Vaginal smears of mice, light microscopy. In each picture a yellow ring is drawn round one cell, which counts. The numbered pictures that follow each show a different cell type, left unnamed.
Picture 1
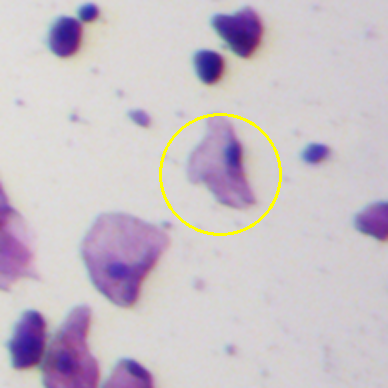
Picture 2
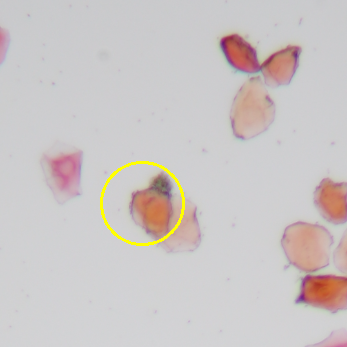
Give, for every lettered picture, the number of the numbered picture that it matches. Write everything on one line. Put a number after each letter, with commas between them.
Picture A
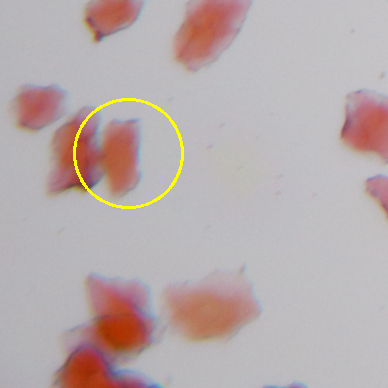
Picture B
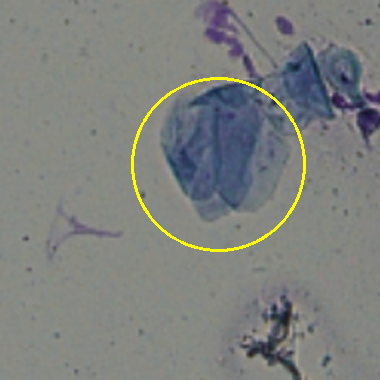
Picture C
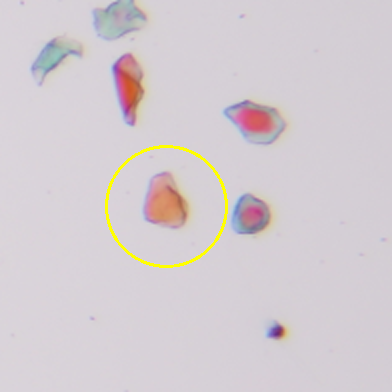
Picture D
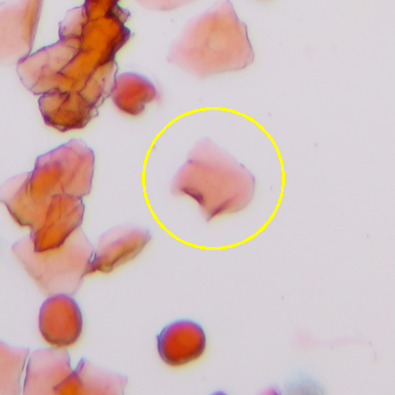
A 2, B 2, C 2, D 2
